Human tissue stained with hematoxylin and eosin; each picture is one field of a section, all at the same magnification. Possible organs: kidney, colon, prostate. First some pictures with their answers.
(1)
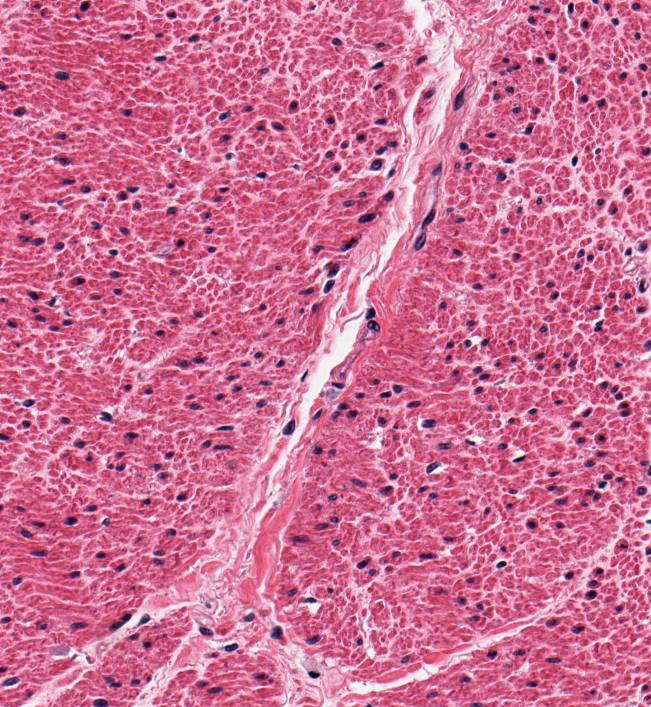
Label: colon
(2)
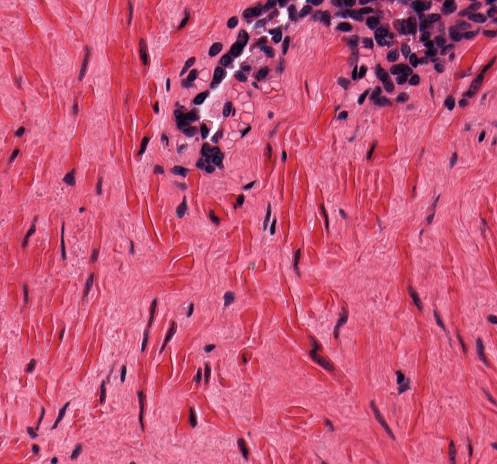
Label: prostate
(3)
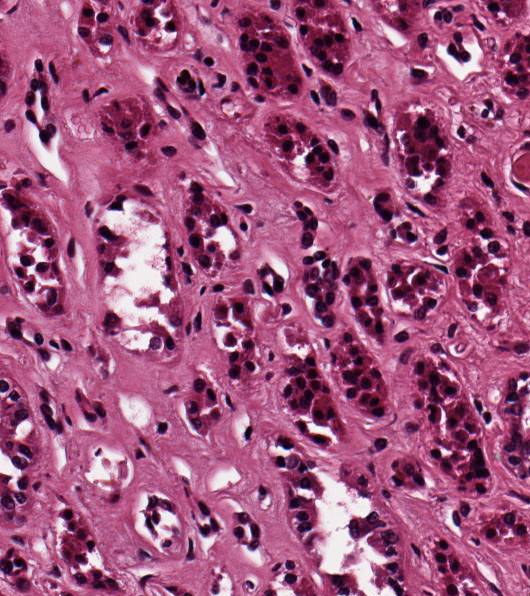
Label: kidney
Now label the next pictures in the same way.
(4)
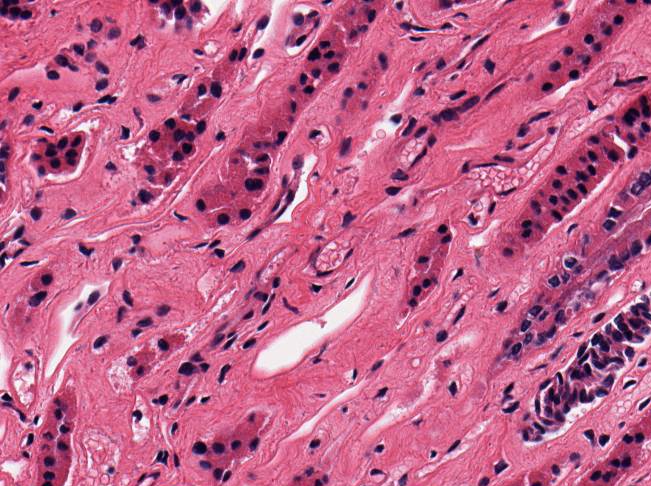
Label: kidney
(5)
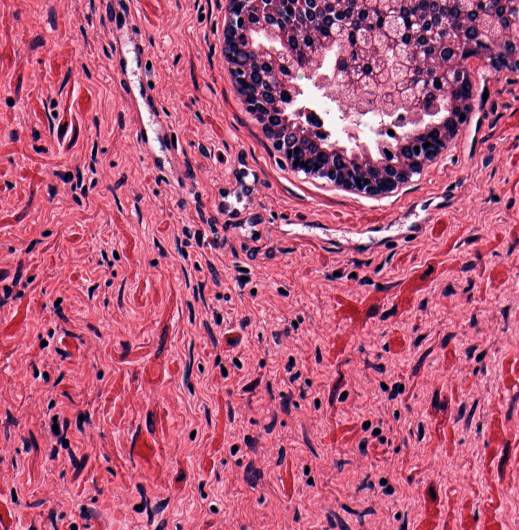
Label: prostate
